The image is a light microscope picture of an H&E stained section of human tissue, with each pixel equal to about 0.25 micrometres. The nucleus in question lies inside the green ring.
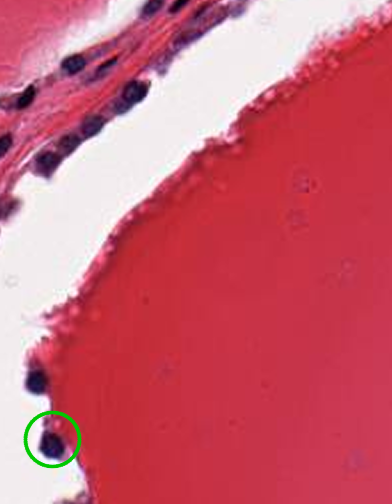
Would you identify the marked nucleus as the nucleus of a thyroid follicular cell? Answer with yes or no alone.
yes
